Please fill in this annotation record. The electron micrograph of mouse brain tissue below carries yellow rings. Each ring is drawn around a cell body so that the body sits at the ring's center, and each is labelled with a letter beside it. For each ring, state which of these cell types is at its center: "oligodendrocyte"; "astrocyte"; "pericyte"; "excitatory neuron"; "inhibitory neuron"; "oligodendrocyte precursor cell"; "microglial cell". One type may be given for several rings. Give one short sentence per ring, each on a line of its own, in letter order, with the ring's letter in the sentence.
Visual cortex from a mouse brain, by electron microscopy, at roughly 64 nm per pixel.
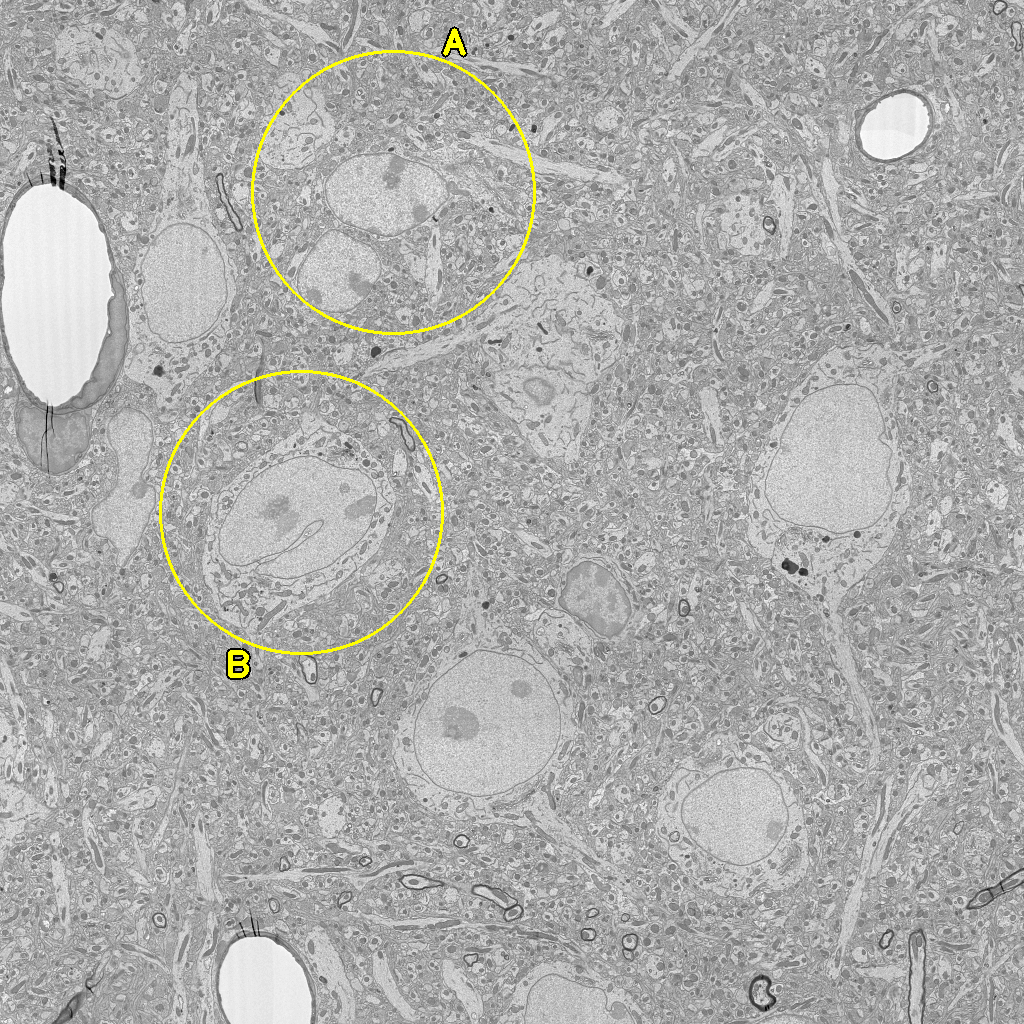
Ring A is drawn around an astrocyte.
Ring B is drawn around an inhibitory neuron.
